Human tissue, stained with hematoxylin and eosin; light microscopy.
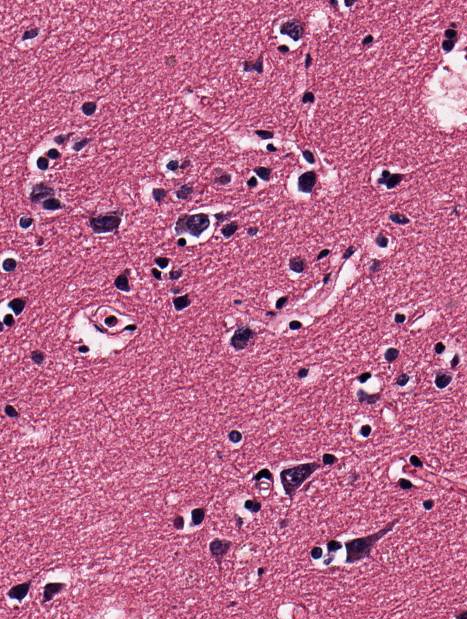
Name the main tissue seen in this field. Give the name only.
cerebral cortex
